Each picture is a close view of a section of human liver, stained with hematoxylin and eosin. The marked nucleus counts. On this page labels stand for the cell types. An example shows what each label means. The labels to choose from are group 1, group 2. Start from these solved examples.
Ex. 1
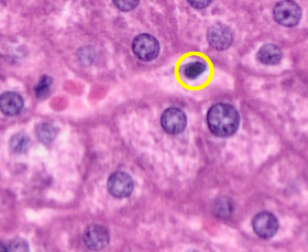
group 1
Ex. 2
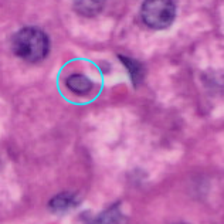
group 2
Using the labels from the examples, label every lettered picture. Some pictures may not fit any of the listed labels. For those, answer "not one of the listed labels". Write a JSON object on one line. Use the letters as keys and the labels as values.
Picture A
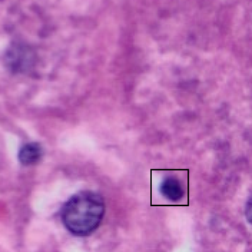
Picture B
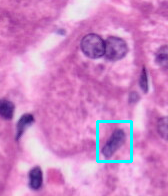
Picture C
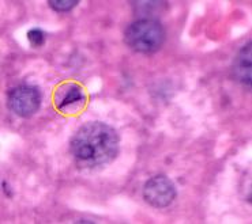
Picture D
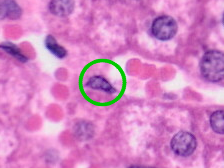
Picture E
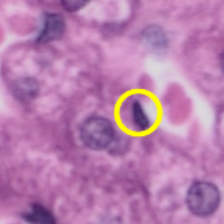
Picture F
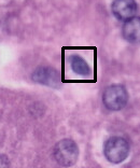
{"A": "group 1", "B": "not one of the listed labels", "C": "not one of the listed labels", "D": "not one of the listed labels", "E": "not one of the listed labels", "F": "group 1"}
